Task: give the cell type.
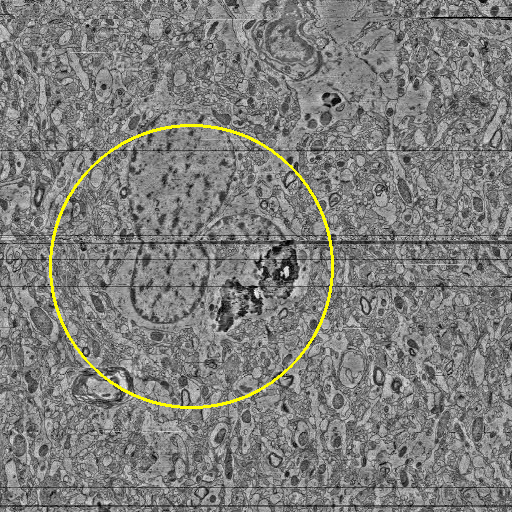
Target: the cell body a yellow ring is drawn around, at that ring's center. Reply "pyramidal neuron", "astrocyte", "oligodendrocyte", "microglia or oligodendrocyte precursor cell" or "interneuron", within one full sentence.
In this picture, the cell whose body lies at the ring's center is an astrocyte.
